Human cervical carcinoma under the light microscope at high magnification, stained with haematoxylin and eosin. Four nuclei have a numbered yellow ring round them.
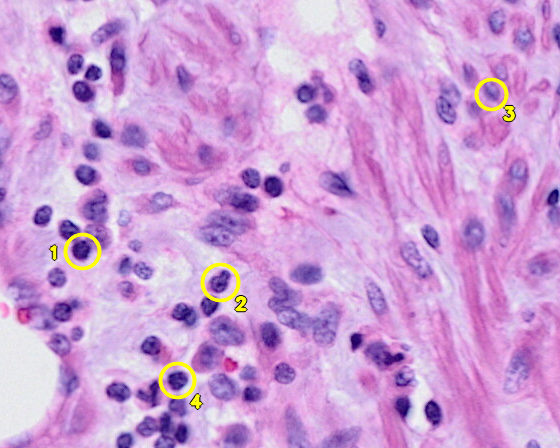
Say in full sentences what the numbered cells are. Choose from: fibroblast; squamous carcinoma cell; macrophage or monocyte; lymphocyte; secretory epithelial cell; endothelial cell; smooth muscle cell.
Cells 1, 2 and 4 are lymphocytes. Cell 3 is a smooth muscle cell.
